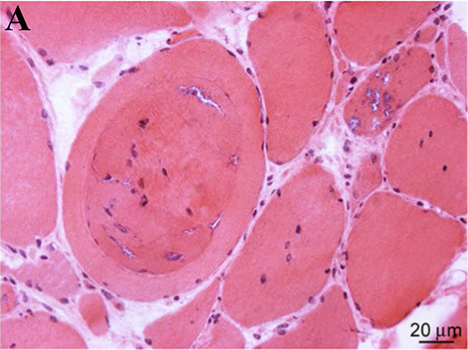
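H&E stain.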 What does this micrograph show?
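Skeletal muscle in cross-section, with pink polygonal to rounded muscle fibers separated by pale endomysial connective tissue containing small flattened nuclei. Most fibers carry their dark oval nuclei at the periphery, but one very large fiber holds numerous nuclei deep in its interior, and its central zone is surrounded by a concentric outer band of differently textured cytoplasm. A neighbouring fiber at the upper right contains a cluster of bluish-purple granular material. Fiber diameters differ markedly, with a giant fiber lying beside much smaller ones.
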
